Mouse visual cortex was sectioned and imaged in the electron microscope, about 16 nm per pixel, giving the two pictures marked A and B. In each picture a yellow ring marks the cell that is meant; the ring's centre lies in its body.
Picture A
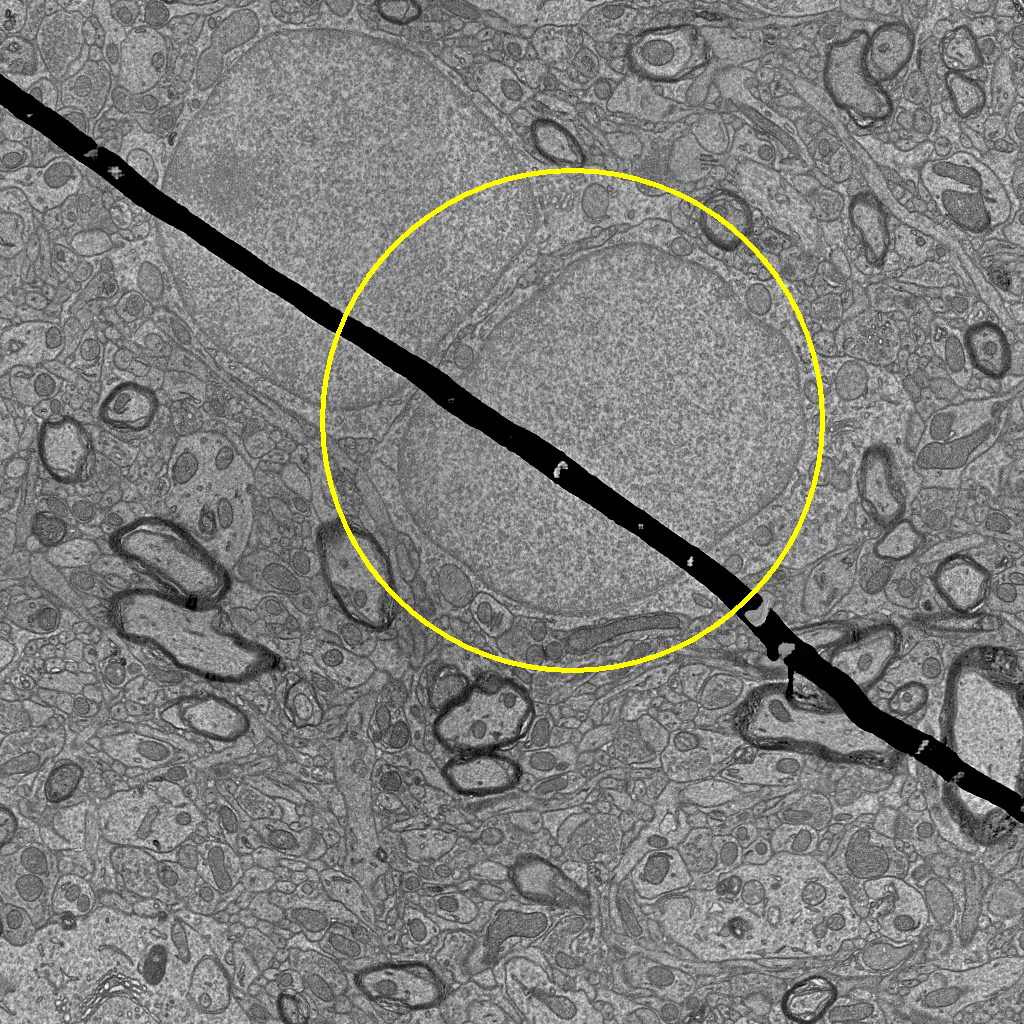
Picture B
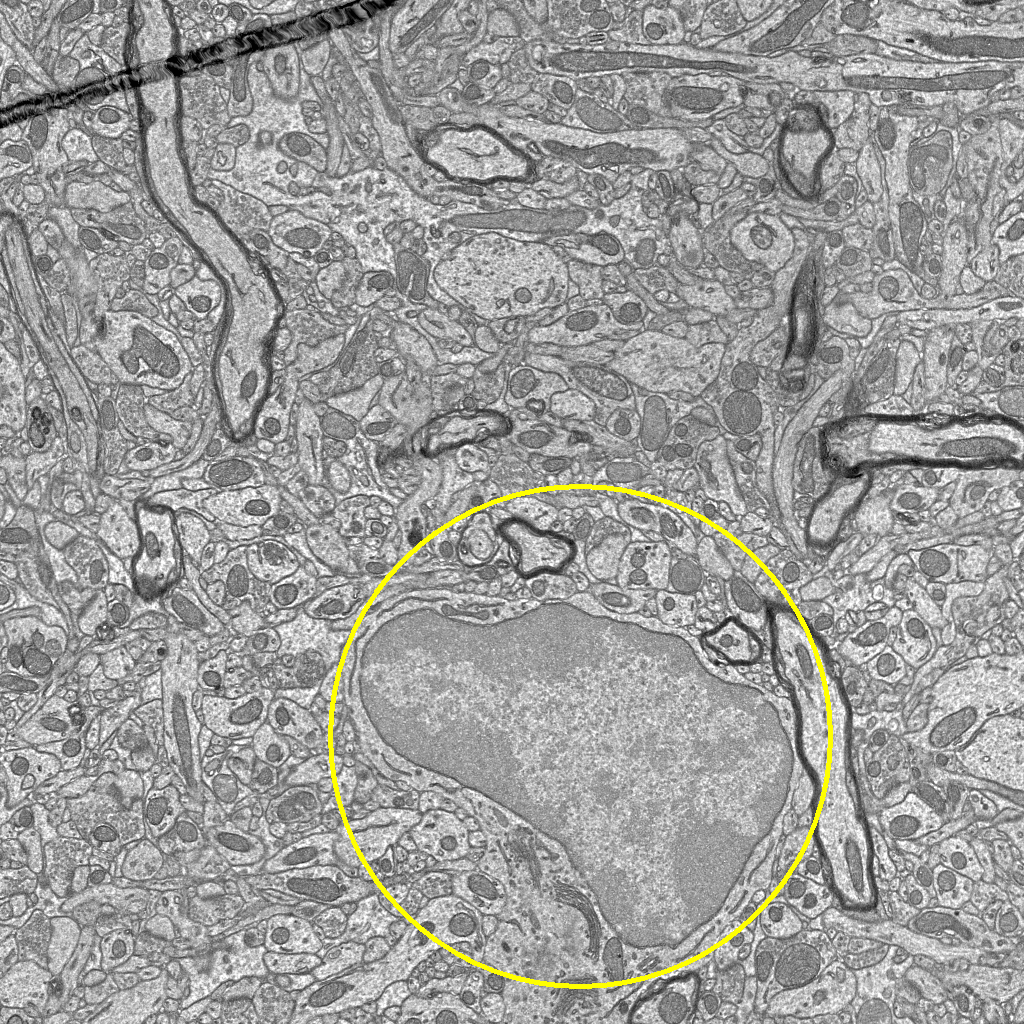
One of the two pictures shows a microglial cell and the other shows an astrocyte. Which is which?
Picture B shows a microglial cell, while picture A shows an astrocyte.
